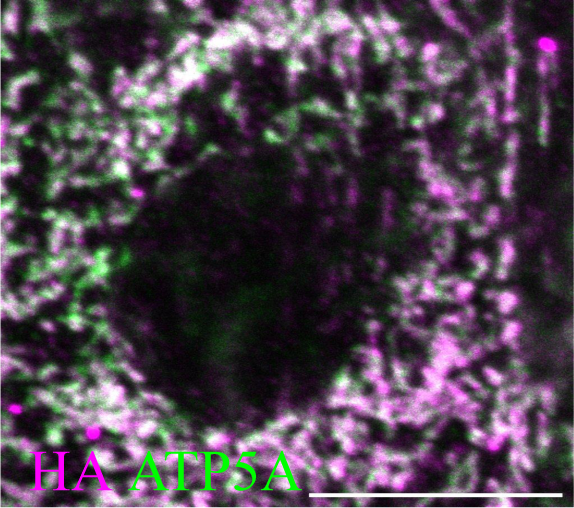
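The mitochondria appear as small puncta and short tubules arranged in rows and clusters through the cytoplasm, crowding especially around the oval region. The magenta and green signals largely coincide, so most mitochondria appear white.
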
